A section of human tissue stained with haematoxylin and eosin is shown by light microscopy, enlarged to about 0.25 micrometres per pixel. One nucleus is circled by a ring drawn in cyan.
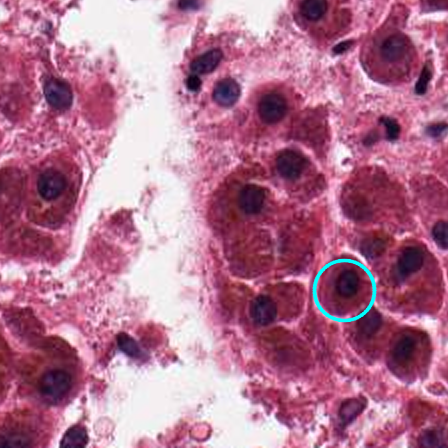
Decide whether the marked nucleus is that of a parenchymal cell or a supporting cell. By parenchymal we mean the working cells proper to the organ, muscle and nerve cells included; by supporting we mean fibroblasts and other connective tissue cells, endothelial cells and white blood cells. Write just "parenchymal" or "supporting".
parenchymal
